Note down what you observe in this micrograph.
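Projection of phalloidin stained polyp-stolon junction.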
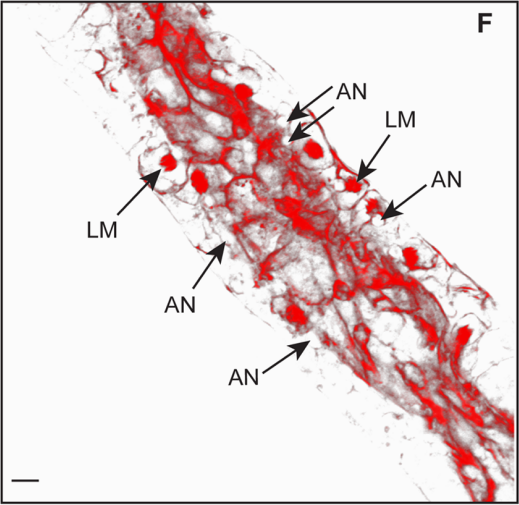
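A tubular structure runs diagonally across the field, filled with red-stained material. Irregular red strands and a network of red lines outline many rounded, roughly polygonal compartments, which are probably cell boundaries. Scattered along the tube lie compact, intensely red round bodies, several near its edges. Finer red strands branch through the interior and extend toward the margins.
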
